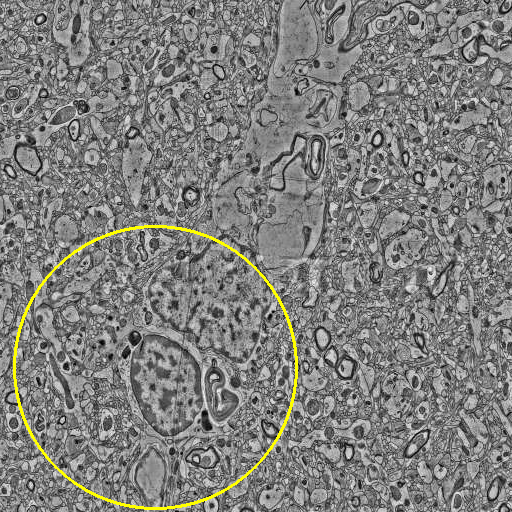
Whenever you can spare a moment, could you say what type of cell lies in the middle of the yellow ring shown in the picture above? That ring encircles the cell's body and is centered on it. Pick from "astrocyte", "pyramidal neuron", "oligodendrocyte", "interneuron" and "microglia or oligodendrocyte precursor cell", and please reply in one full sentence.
The cell whose body sits at the middle of the yellow ring is a microglial cell or oligodendrocyte precursor cell.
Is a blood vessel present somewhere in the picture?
Yes, a blood vessel shows in the picture.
